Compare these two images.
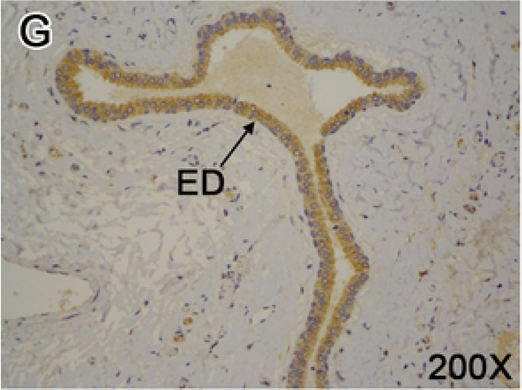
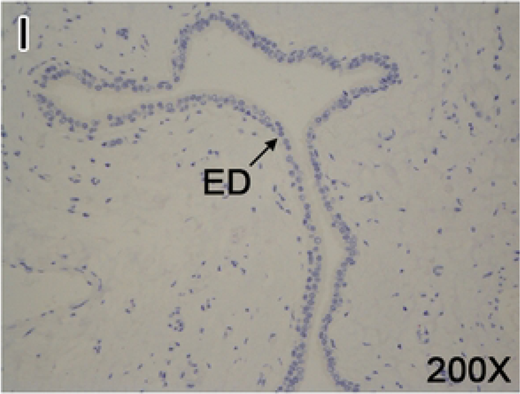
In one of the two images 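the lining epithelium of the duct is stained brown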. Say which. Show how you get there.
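Second image: the duct epithelium shows only blue nuclei with no brown. First image: the duct epithelium is a continuous brown band around the lumen. That points to this answer: the first image.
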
